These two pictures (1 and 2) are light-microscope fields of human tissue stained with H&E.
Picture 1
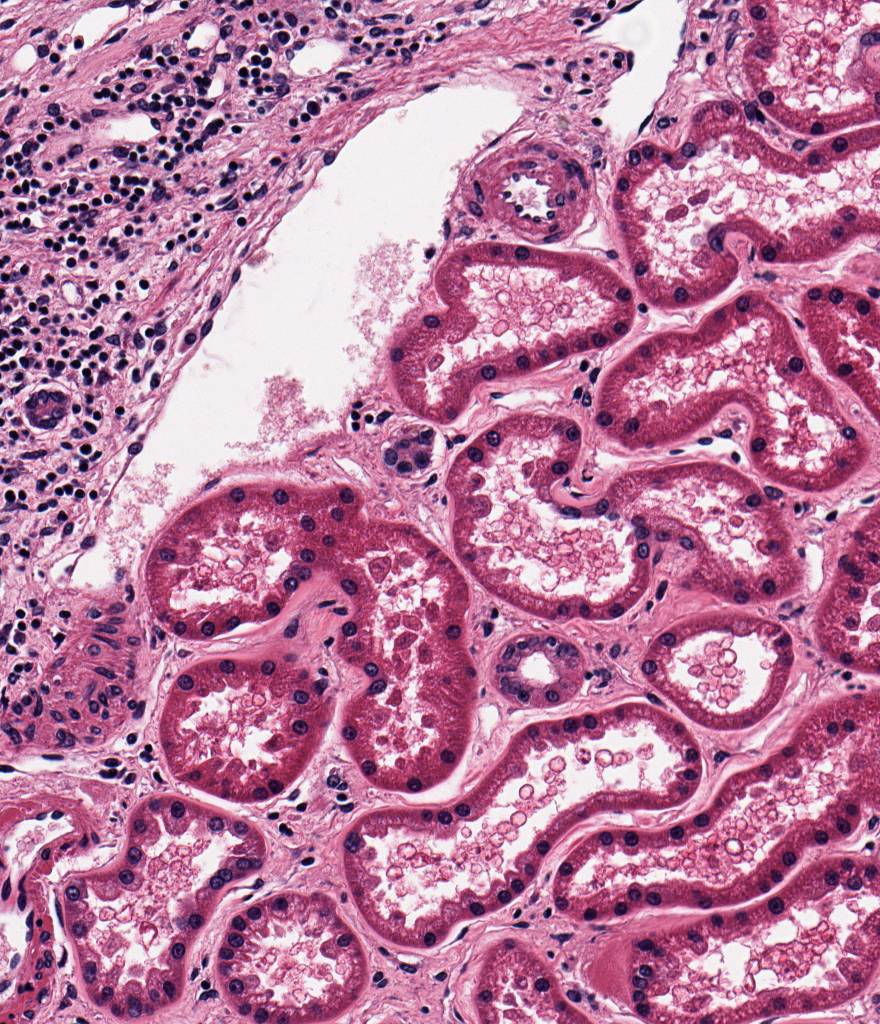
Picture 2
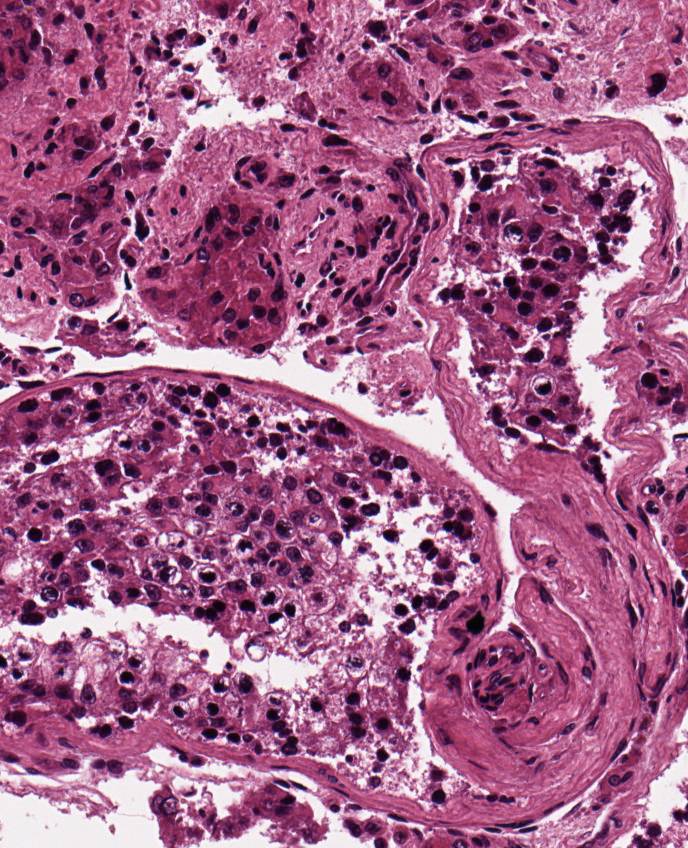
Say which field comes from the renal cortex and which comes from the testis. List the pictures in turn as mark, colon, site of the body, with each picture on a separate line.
1: renal cortex
2: testis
